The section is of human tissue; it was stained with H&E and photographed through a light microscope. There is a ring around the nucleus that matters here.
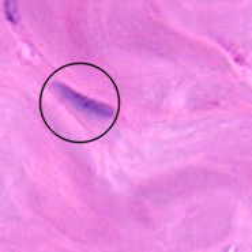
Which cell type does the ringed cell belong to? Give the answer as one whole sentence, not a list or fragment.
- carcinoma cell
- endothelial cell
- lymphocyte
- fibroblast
It is a fibroblast that the ringed cell represents.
